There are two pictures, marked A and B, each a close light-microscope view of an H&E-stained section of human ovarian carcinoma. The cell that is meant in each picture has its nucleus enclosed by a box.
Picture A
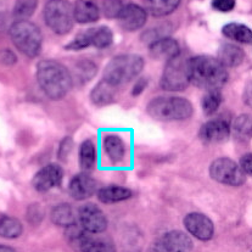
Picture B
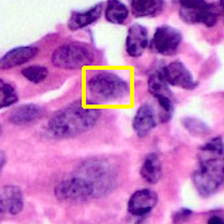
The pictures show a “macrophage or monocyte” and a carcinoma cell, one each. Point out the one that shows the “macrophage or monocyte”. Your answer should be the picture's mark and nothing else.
A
